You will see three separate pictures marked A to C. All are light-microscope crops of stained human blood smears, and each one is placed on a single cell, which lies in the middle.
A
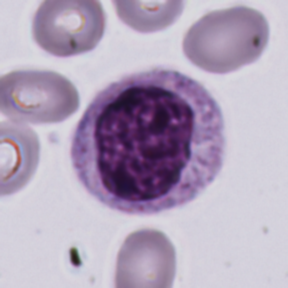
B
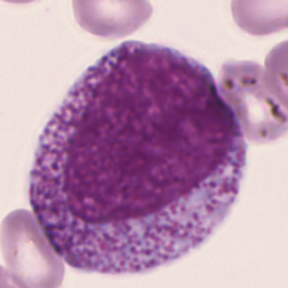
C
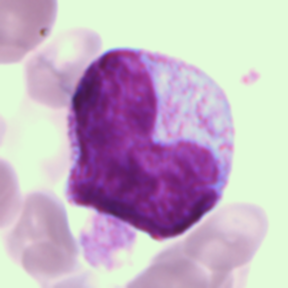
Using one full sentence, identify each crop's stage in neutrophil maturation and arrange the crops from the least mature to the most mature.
From earliest stage to latest stage, the sequence is crop B (a promyelocyte), crop A (a metamyelocyte) and crop C (a band neutrophil).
